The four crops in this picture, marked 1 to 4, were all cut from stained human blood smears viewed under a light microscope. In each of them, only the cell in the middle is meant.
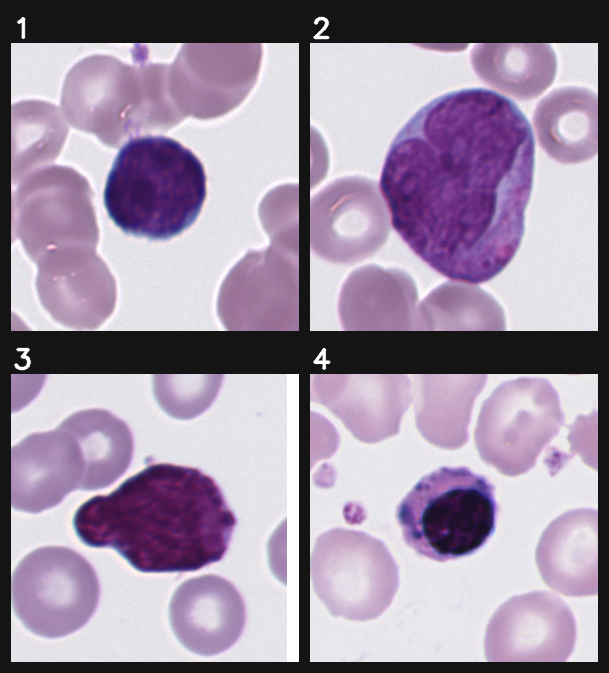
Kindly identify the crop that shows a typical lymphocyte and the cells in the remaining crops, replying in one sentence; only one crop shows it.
Crop 1 is read as a typical lymphocyte, while crop 2 is an atypical promyelocyte, crop 3 is a myeloblast and crop 4 is a normoblast.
